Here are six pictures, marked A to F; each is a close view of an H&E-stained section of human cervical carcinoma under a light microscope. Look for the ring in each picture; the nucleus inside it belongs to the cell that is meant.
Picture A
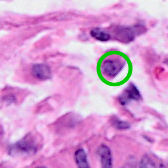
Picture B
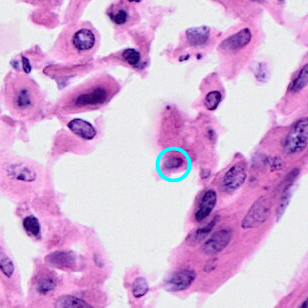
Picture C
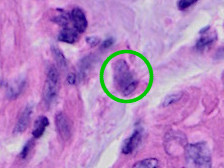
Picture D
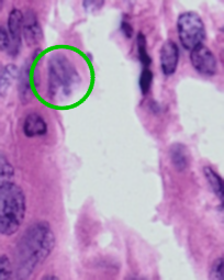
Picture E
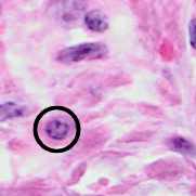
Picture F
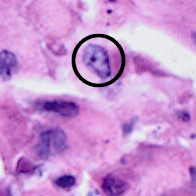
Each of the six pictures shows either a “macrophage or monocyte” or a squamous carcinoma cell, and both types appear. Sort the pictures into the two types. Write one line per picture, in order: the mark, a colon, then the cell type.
A: macrophage or monocyte
B: squamous carcinoma cell
C: macrophage or monocyte
D: squamous carcinoma cell
E: macrophage or monocyte
F: macrophage or monocyte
